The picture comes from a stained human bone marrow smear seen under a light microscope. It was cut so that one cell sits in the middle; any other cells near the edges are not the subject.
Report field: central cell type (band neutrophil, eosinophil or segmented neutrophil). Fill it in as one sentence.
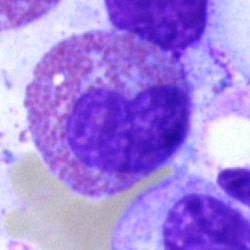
What the crop centres on is an eosinophil.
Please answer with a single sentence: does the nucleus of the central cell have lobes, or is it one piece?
A single compact nucleus is present, shaped round, oval or like a kidney.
